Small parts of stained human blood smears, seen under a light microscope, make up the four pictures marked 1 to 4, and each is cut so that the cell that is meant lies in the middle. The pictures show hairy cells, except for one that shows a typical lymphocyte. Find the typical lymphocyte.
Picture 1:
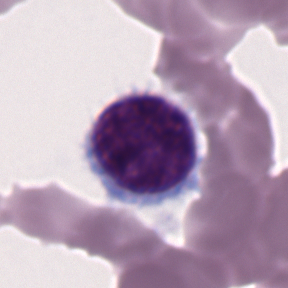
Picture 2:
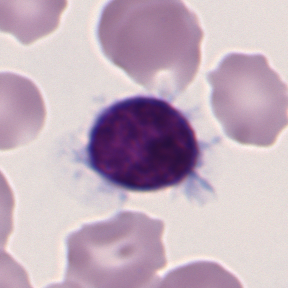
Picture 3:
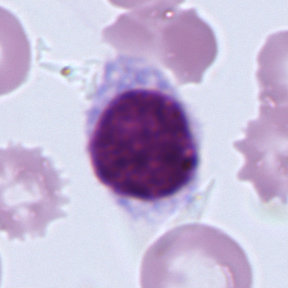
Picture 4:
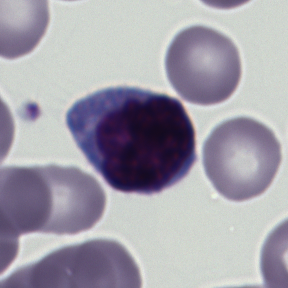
4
